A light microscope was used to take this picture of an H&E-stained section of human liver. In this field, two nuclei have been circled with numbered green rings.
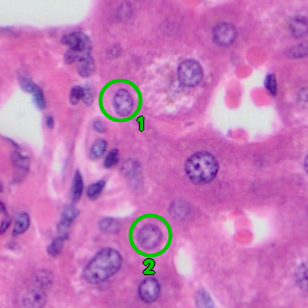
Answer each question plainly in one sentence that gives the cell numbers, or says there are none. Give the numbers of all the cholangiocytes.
Mind that only cell 1 is a cholangiocyte, none of the rest.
